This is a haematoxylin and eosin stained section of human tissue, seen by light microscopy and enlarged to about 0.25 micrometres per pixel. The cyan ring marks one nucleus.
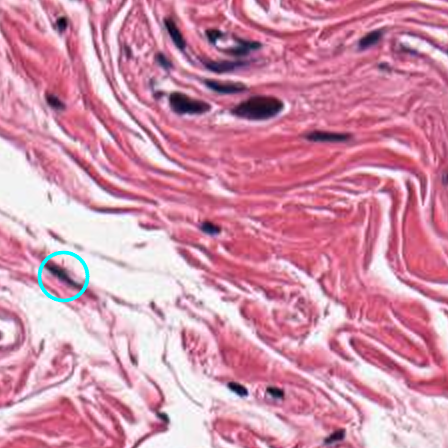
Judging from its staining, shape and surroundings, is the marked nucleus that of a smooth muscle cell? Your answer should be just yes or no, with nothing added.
no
